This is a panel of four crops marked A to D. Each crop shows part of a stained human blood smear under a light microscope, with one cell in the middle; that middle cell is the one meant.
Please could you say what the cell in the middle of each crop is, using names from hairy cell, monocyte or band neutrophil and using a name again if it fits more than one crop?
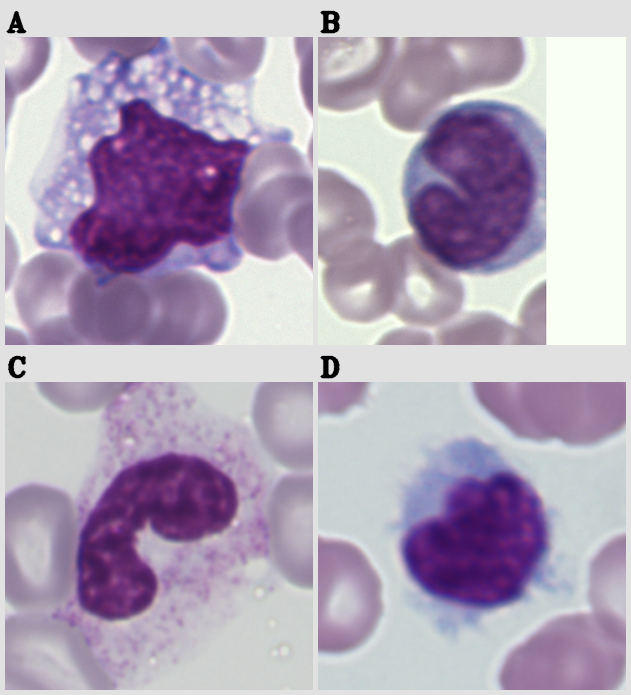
A: monocyte
B: monocyte
C: band neutrophil
D: hairy cell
